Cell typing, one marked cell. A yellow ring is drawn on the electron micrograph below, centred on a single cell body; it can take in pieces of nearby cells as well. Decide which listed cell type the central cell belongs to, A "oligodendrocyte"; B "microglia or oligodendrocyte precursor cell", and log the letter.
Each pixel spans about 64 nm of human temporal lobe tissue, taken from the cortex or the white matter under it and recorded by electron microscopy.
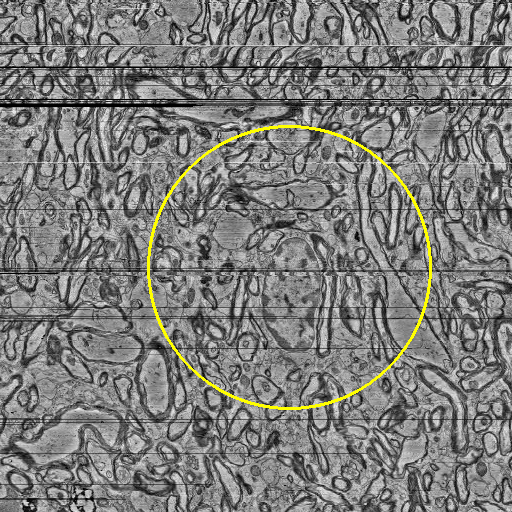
B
